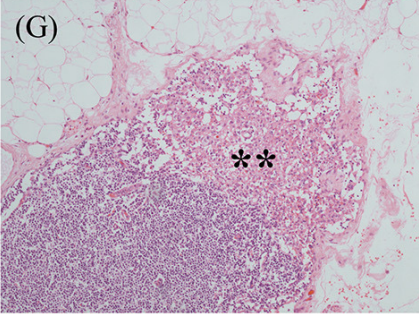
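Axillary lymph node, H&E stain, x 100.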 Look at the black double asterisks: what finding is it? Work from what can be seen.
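Histiocytic infiltrations. The marked area holds paler cells with more cytoplasm than the adjacent dark lymphocytes. It lies at the edge of the lymphoid tissue next to fat.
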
